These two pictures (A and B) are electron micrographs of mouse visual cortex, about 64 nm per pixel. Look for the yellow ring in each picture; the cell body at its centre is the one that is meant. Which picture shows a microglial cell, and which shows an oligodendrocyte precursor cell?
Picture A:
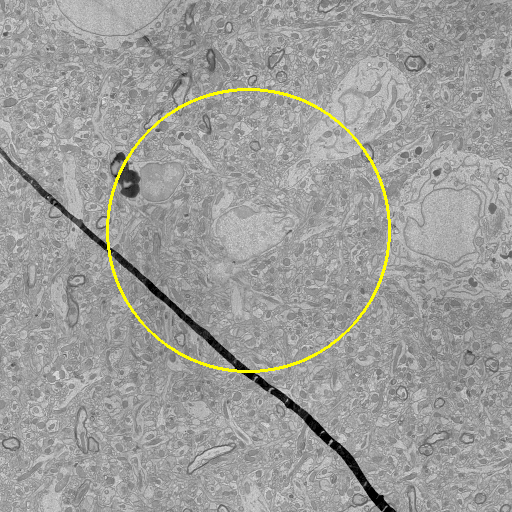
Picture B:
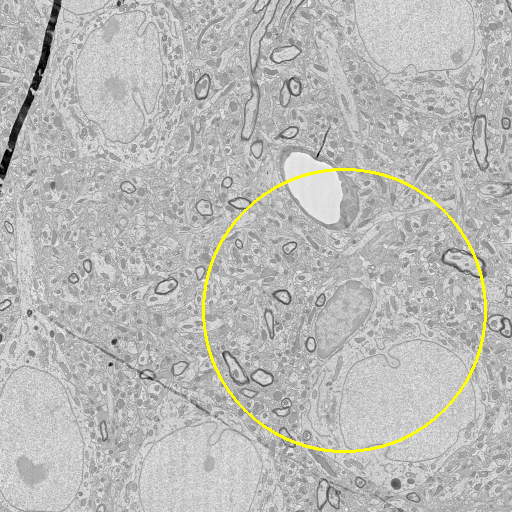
The cell in picture A is an oligodendrocyte precursor cell, and the one in picture B is a microglial cell.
